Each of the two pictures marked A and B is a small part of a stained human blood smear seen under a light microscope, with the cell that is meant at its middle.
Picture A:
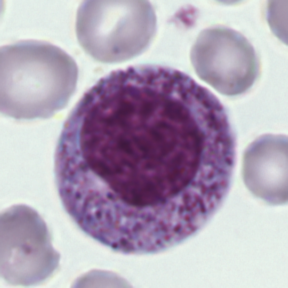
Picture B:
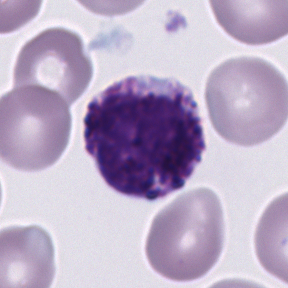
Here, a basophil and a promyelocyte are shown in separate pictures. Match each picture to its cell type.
A: promyelocyte
B: basophil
